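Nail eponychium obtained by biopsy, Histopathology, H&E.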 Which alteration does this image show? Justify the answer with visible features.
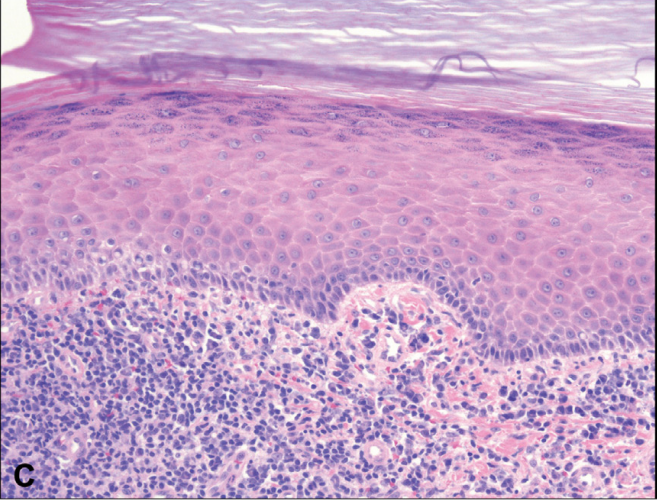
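A thick, dense, pink, layered cornified layer covers the top of the epidermis. No nuclei are retained within the cornified layer.
Compact hyperorthohyperkeratosis.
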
